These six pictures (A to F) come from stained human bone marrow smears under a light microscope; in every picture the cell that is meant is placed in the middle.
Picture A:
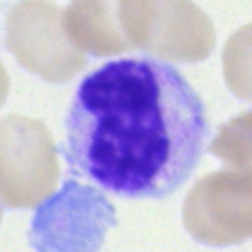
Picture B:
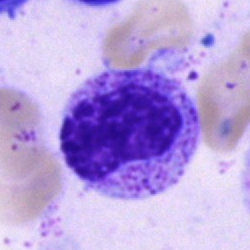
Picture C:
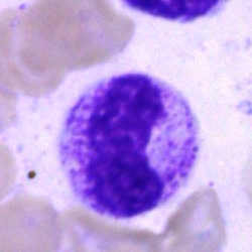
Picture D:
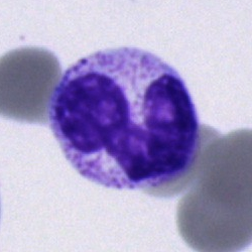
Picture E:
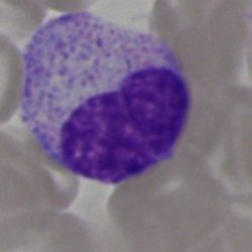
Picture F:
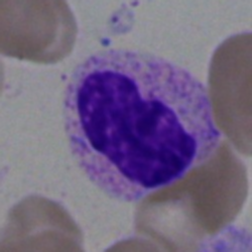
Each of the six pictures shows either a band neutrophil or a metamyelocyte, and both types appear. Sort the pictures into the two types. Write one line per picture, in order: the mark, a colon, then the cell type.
A: metamyelocyte
B: metamyelocyte
C: metamyelocyte
D: band neutrophil
E: metamyelocyte
F: band neutrophil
